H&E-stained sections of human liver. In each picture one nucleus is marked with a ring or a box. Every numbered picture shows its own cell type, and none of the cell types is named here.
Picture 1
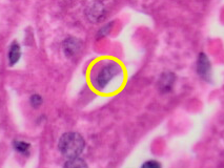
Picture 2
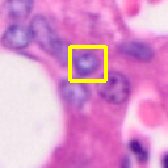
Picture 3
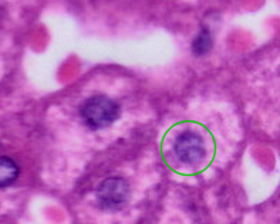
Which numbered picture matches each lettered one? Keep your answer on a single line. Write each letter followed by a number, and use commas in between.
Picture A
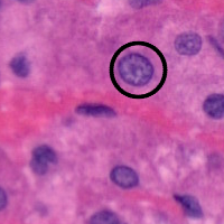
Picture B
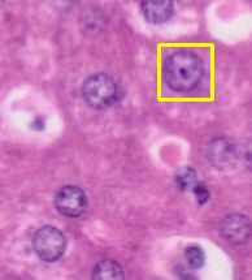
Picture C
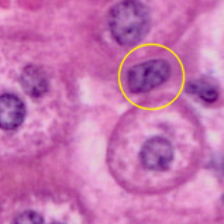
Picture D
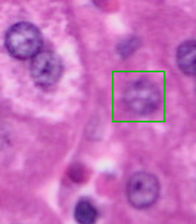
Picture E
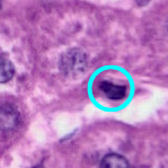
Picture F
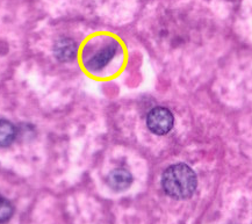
A 3, B 3, C 1, D 3, E 1, F 1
